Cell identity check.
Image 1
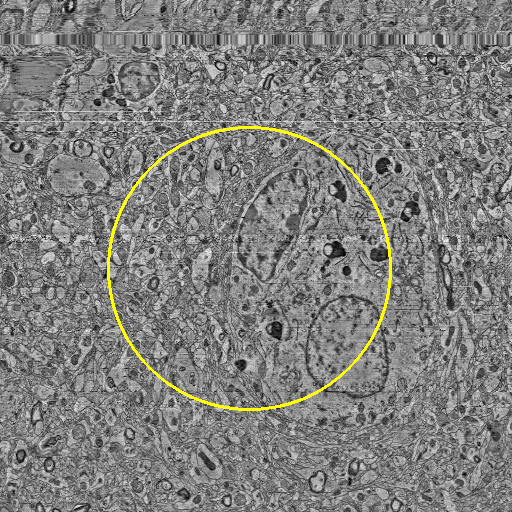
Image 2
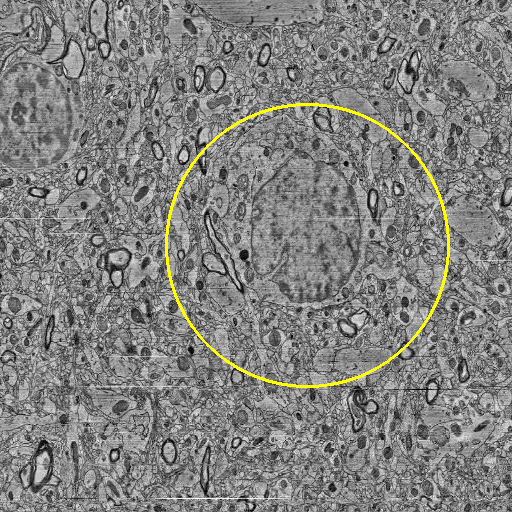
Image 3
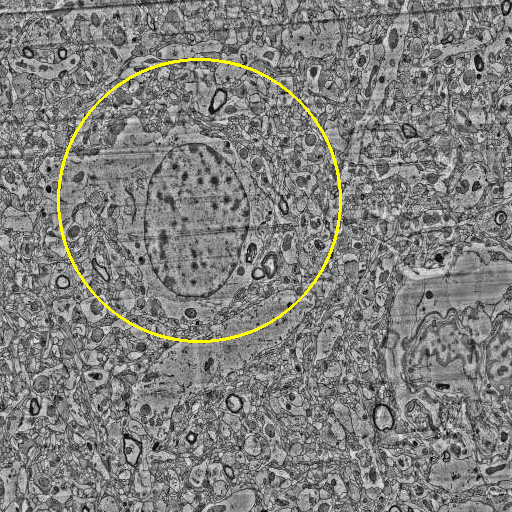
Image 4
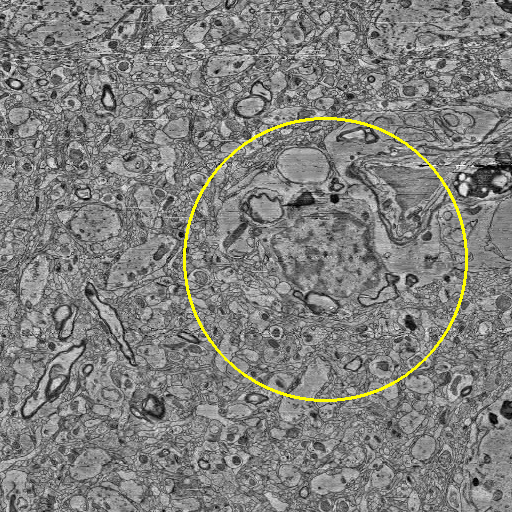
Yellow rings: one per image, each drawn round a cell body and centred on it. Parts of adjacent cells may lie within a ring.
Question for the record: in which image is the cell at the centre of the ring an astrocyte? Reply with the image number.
3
